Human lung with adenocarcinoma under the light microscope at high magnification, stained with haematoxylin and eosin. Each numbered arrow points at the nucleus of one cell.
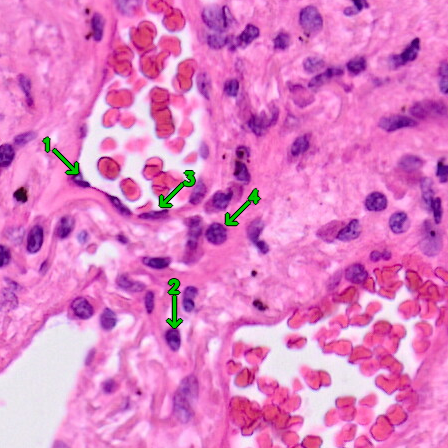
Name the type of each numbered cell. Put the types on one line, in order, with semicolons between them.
endothelial cell; lymphocyte; endothelial cell; lymphocyte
